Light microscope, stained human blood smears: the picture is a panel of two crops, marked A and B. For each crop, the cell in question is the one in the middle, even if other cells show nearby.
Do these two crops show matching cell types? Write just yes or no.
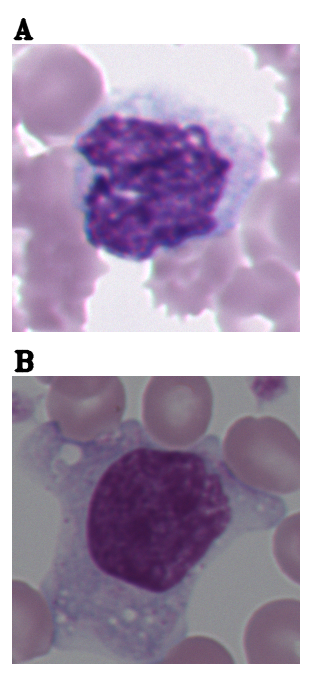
yes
